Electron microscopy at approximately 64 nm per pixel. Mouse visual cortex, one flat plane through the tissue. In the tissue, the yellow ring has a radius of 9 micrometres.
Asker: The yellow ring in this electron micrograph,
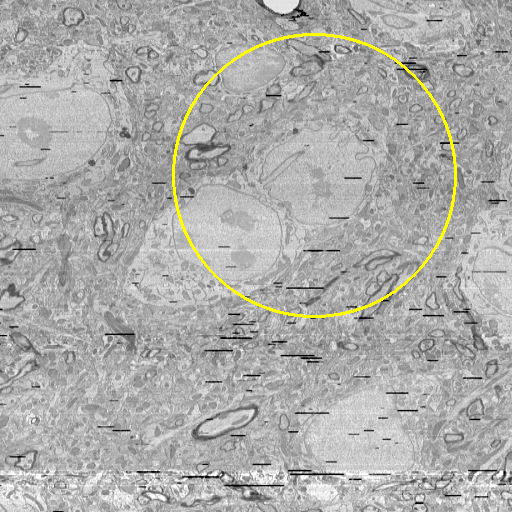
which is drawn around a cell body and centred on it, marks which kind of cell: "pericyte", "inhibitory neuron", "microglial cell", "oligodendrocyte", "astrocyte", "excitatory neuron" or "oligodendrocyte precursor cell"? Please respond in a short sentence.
The marked cell is an inhibitory neuron.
